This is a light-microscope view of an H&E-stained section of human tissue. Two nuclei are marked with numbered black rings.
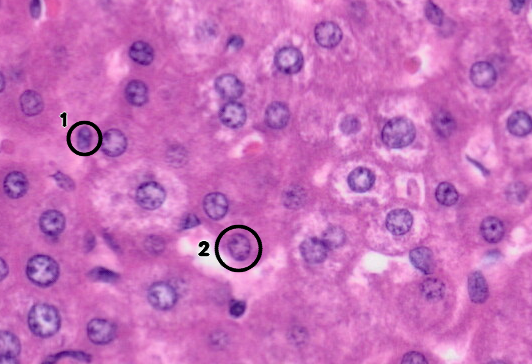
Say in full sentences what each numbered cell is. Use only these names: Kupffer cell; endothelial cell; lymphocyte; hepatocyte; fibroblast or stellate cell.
Cell 1 is a fibroblast or stellate cell. Cell 2 is a hepatocyte.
